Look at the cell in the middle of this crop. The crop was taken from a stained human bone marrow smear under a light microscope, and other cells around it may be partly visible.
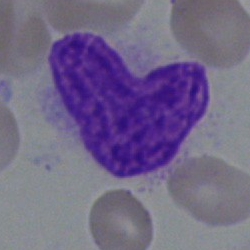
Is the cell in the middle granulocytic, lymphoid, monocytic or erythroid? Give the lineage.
monocytic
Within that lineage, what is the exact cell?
monocyte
